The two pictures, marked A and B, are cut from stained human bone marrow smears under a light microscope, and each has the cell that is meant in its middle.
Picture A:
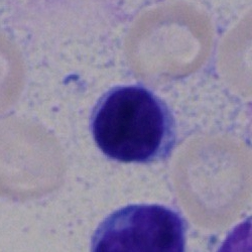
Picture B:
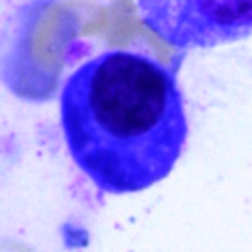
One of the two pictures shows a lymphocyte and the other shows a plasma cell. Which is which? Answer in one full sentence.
Picture A is of a lymphocyte, and picture B is of a plasma cell.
